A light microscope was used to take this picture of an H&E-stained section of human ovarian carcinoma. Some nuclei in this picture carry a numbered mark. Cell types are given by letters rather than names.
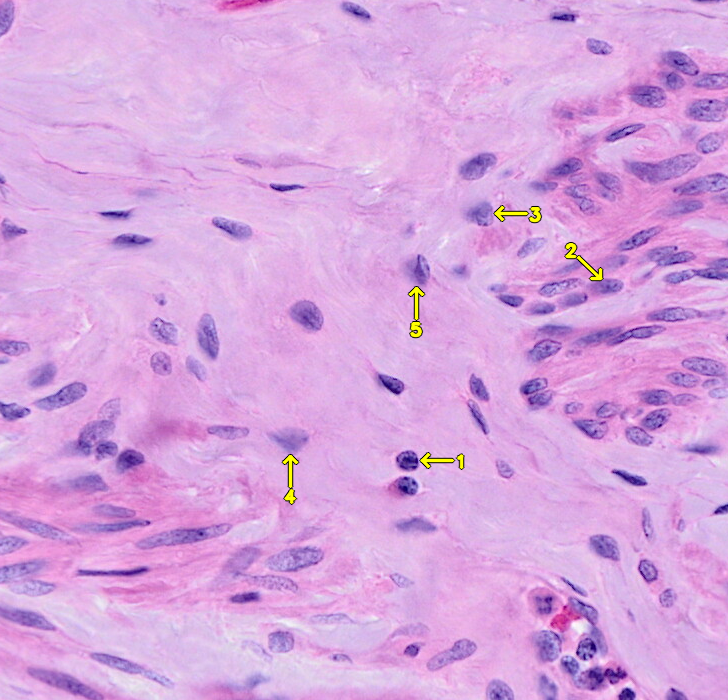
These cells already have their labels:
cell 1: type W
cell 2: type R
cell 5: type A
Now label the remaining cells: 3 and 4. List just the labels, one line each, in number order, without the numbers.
type A
type A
